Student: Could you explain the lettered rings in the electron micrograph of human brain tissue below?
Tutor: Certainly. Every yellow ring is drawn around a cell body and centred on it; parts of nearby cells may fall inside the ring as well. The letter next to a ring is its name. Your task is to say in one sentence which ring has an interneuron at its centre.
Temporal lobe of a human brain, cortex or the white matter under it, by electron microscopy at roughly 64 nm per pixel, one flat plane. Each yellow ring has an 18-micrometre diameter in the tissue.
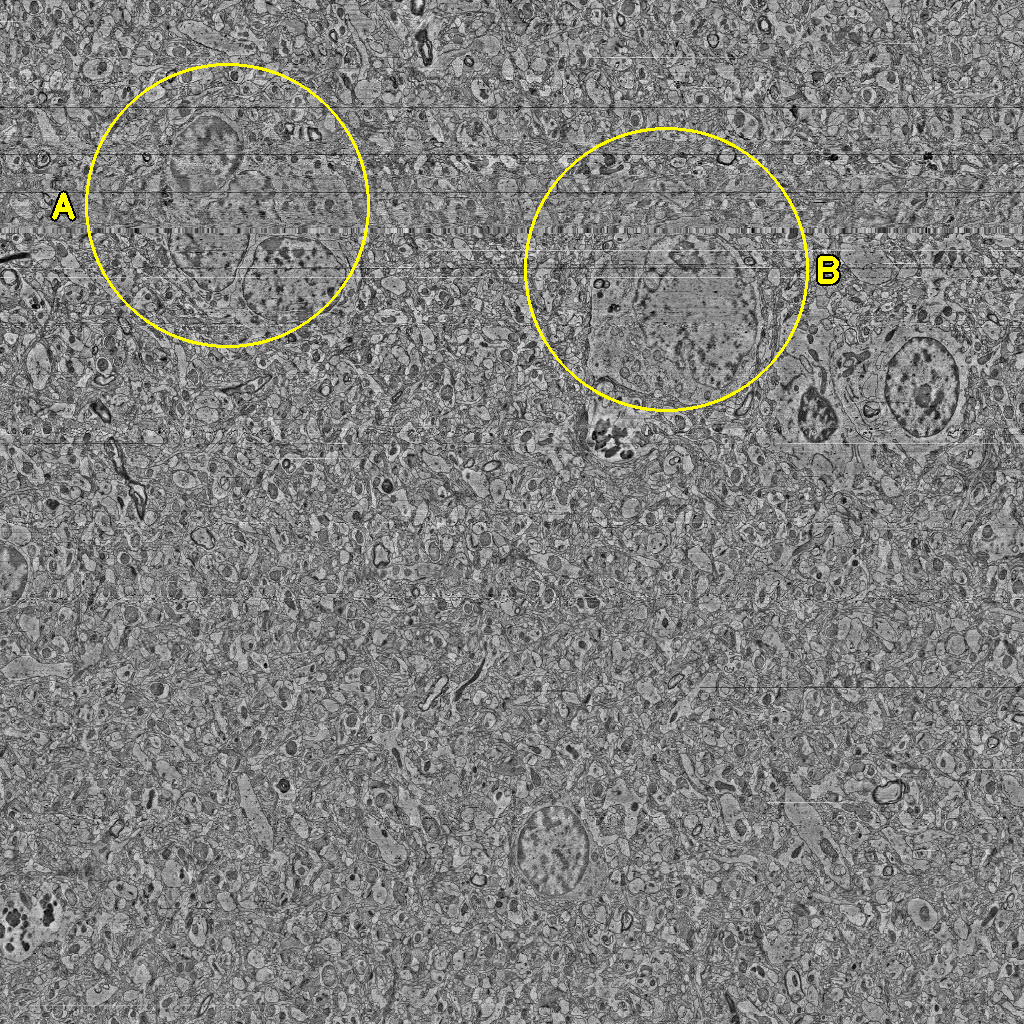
The cell at the centre of ring B is the one.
